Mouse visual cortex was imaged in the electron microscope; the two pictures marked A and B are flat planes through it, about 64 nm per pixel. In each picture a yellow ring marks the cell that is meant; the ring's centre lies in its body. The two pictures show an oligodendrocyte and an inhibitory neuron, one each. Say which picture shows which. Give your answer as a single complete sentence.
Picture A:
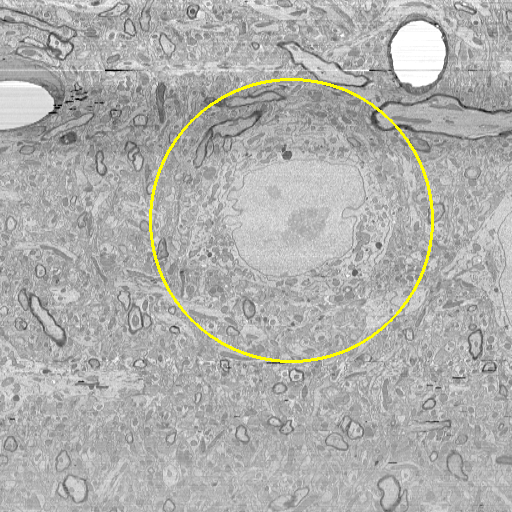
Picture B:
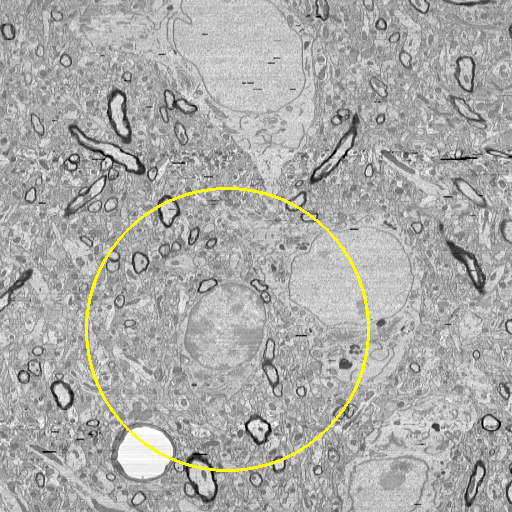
In picture A the cell is an inhibitory neuron; in picture B, an oligodendrocyte.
